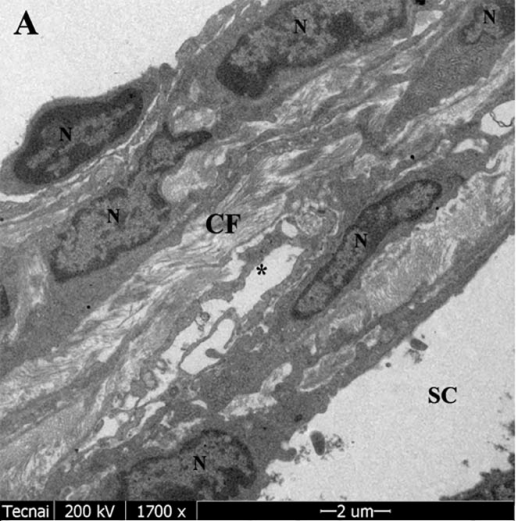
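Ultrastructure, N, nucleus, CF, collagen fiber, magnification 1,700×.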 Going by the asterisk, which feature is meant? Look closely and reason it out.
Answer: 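Trabecular mesh gap. The asterisk lies in a narrow pale space between layers of cells and fibres.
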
